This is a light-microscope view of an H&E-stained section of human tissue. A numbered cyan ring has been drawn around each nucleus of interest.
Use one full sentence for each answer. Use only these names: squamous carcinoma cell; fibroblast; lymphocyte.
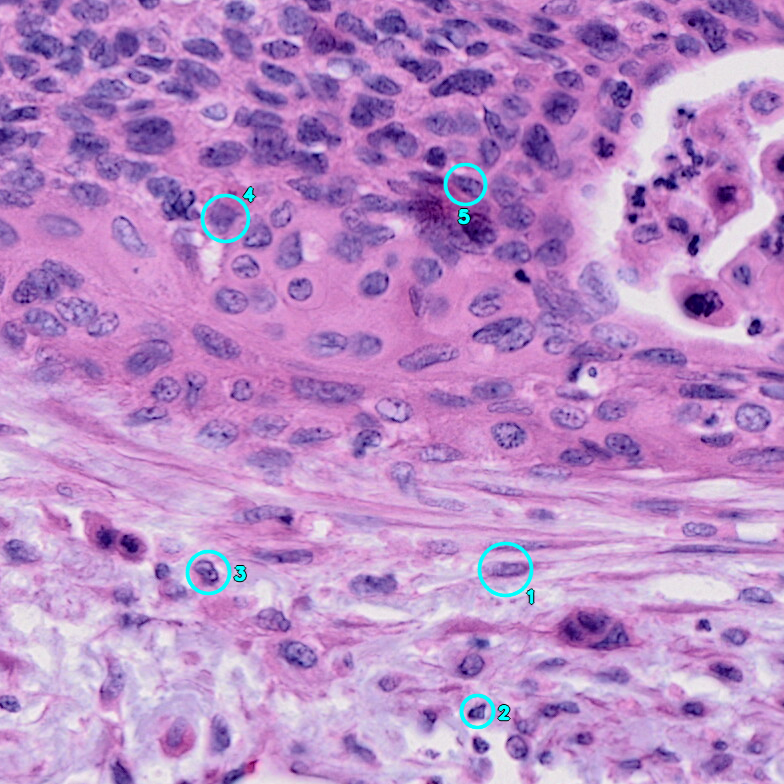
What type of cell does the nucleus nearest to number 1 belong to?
The cell nearest to number 1 is a fibroblast.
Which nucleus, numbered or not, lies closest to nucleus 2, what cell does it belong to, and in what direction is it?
Just below nucleus 2 lies the nearest nucleus, which belongs to a lymphocyte.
